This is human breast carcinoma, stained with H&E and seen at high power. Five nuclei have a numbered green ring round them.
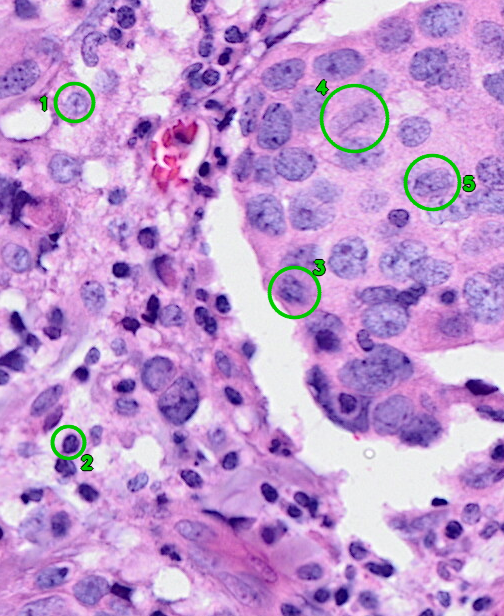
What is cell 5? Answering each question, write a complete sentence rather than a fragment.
The marked cell with the number 5 is recognised as a carcinoma cell.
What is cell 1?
The mark numbered 1 indicates the nucleus of a macrophage, monocyte or dendritic cell.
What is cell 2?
The cell carrying label 2 is identified as a lymphocyte.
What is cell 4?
The cell assigned the number 4 is a carcinoma cell.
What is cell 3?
The cell assigned the number 3 is a carcinoma cell.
